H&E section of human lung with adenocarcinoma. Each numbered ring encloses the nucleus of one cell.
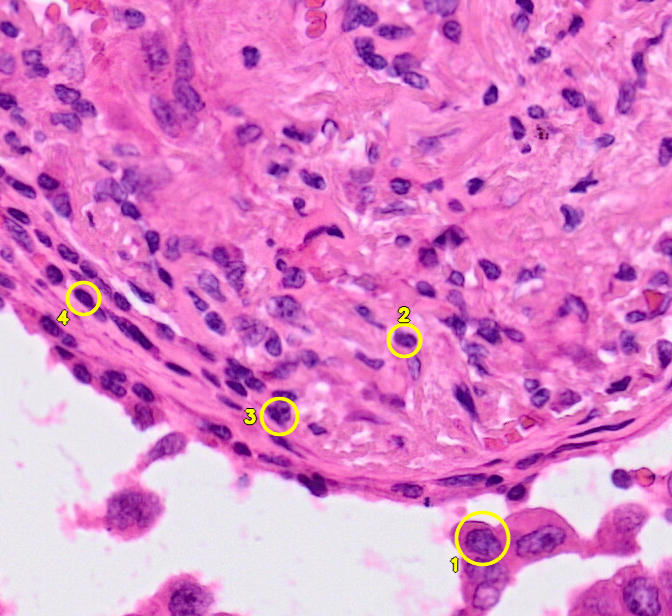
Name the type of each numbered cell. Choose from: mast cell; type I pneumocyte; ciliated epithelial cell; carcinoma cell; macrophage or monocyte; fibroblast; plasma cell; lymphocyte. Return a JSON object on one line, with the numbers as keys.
{"1": "carcinoma cell", "2": "lymphocyte", "3": "lymphocyte", "4": "lymphocyte"}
